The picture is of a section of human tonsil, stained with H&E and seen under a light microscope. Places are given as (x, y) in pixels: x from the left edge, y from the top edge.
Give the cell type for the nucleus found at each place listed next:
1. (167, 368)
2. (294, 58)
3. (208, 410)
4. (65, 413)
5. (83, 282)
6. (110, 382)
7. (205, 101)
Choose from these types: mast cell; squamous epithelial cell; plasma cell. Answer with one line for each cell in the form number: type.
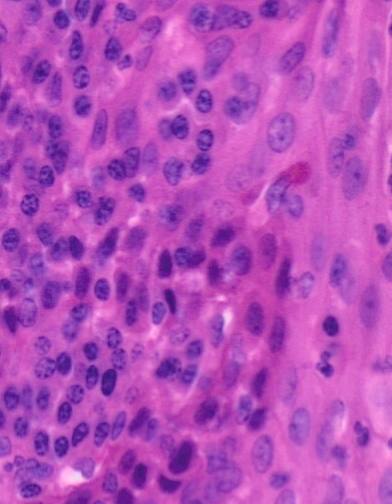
1: plasma cell
2: squamous epithelial cell
3: squamous epithelial cell
4: plasma cell
5: squamous epithelial cell
6: plasma cell
7: plasma cell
